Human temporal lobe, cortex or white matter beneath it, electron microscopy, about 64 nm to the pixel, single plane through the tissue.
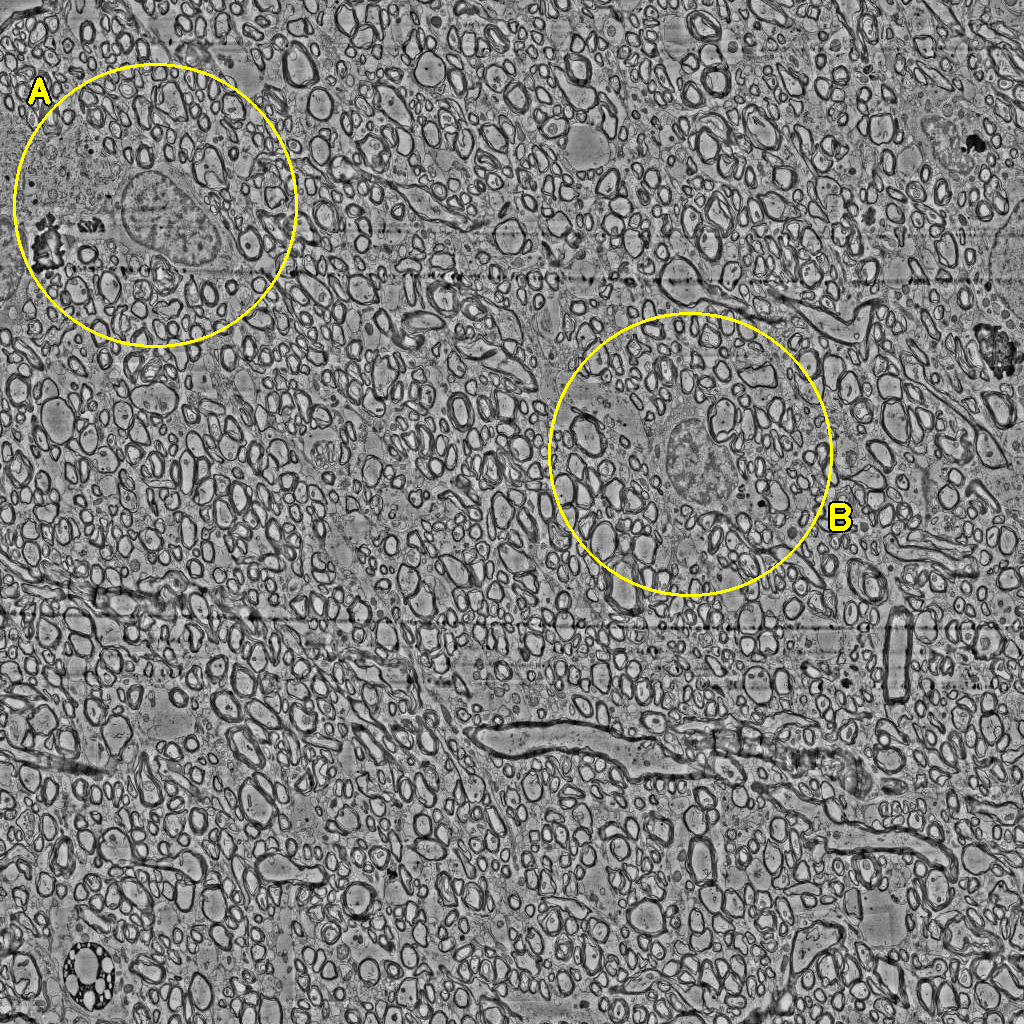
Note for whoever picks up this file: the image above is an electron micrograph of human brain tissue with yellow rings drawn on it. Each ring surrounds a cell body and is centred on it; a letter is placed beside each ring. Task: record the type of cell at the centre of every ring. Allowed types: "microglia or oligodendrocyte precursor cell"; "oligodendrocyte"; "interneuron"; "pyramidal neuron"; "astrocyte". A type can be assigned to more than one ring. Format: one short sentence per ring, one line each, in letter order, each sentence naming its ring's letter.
The ring marked A is centred on an oligodendrocyte.
The ring marked B is centred on an oligodendrocyte.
